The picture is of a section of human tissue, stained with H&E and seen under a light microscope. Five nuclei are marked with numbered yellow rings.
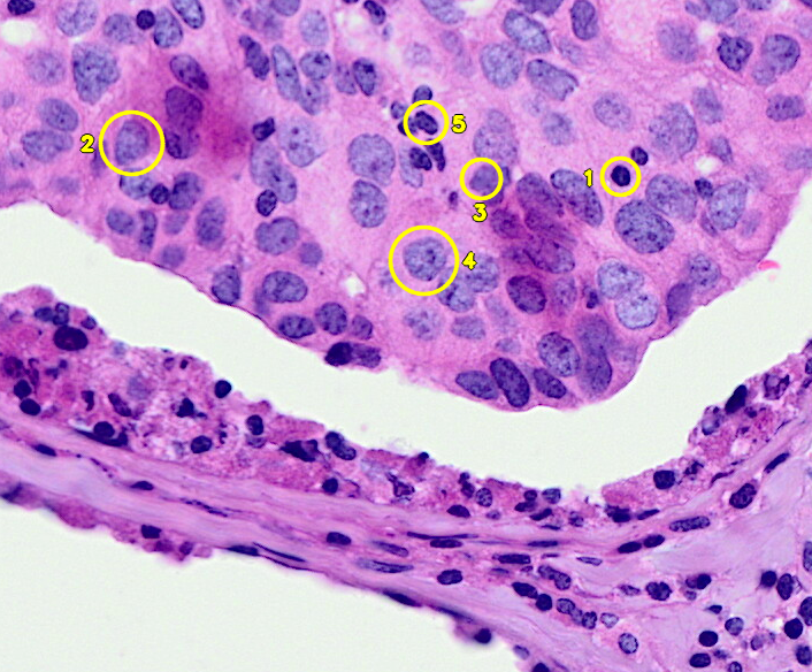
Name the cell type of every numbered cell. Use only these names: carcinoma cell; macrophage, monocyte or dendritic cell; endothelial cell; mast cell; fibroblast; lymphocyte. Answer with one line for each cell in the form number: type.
1: lymphocyte
2: carcinoma cell
3: carcinoma cell
4: carcinoma cell
5: lymphocyte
